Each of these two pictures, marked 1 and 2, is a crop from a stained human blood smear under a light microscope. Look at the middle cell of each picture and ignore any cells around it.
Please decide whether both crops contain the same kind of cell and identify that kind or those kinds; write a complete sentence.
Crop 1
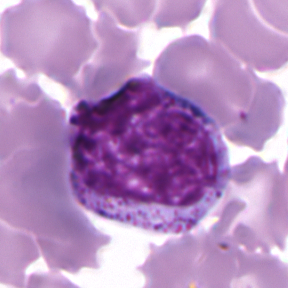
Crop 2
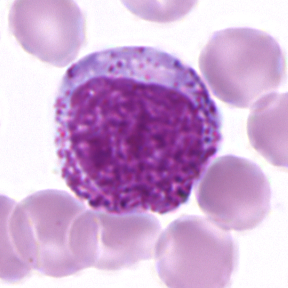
Yes, the cells placed at the centre of both crops are myelocytes.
